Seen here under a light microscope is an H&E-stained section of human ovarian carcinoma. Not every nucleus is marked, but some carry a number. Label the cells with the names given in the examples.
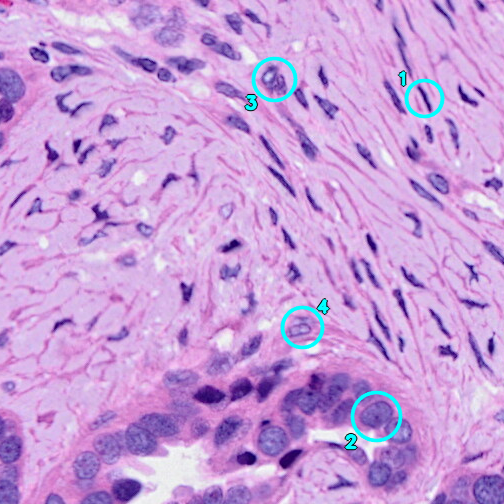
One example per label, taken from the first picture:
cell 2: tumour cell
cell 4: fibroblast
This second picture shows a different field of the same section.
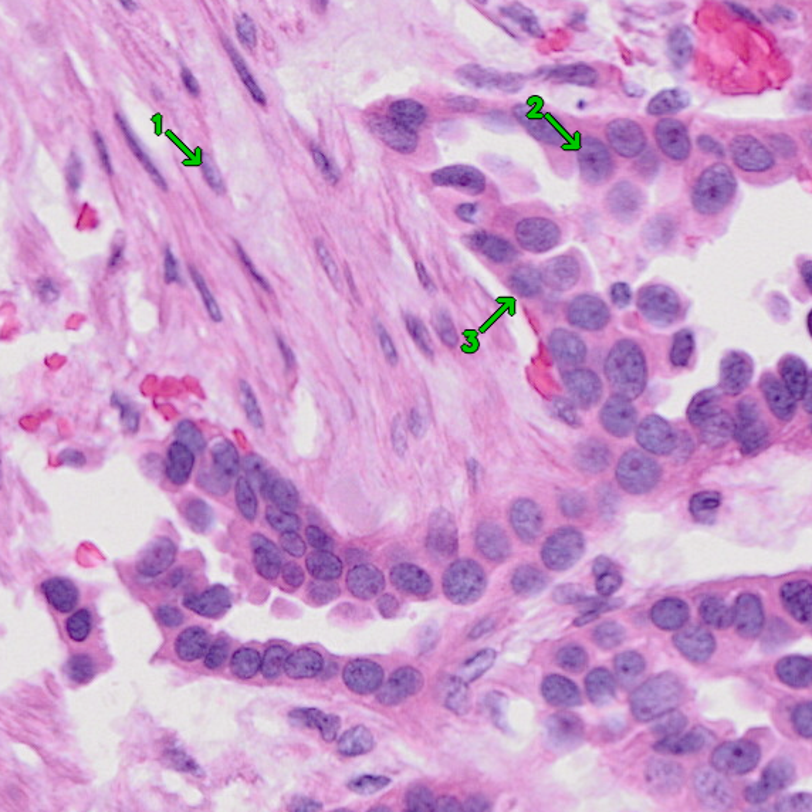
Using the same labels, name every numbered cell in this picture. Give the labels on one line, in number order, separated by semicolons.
fibroblast; tumour cell; tumour cell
